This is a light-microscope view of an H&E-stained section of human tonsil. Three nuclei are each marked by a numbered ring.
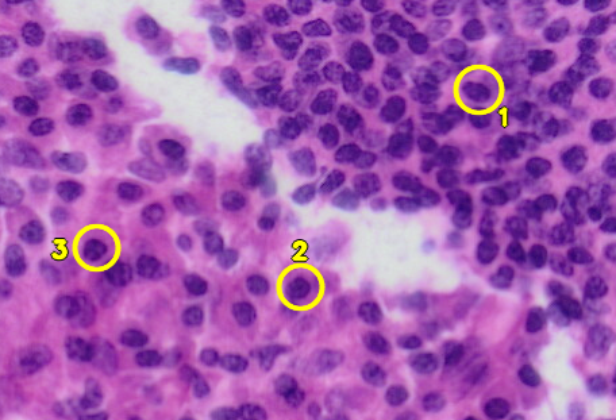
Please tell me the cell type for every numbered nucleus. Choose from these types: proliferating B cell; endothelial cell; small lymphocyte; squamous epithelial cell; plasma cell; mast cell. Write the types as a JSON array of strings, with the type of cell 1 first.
["small lymphocyte", "plasma cell", "plasma cell"]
